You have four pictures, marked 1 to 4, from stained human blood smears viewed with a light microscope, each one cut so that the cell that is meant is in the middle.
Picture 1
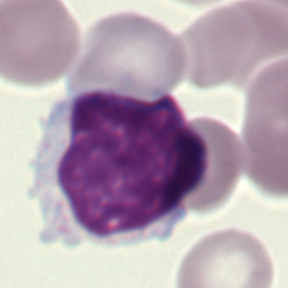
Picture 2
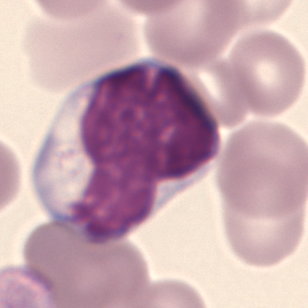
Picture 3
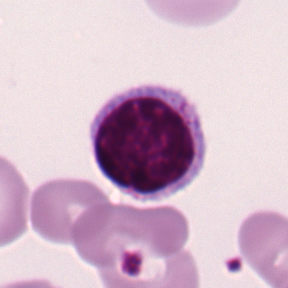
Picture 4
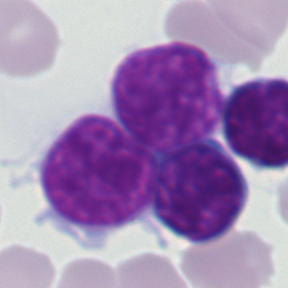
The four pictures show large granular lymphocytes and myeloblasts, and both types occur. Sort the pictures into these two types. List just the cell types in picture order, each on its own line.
large granular lymphocyte
large granular lymphocyte
large granular lymphocyte
myeloblast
